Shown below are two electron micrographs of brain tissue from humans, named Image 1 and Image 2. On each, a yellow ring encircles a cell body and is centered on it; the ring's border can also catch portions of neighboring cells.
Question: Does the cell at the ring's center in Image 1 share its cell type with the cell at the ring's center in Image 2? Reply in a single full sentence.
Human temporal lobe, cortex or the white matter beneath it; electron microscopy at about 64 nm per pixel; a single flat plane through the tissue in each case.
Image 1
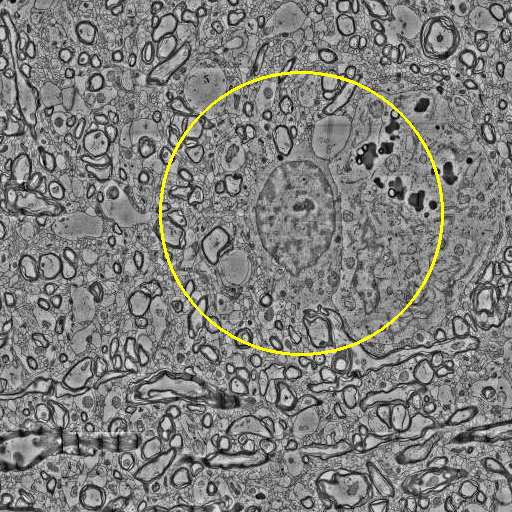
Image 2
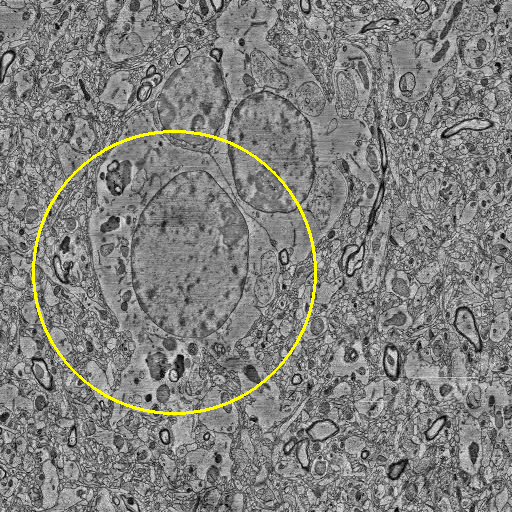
No, the two cells at the ring centers, in Image 1 and Image 2, are of two cell types.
